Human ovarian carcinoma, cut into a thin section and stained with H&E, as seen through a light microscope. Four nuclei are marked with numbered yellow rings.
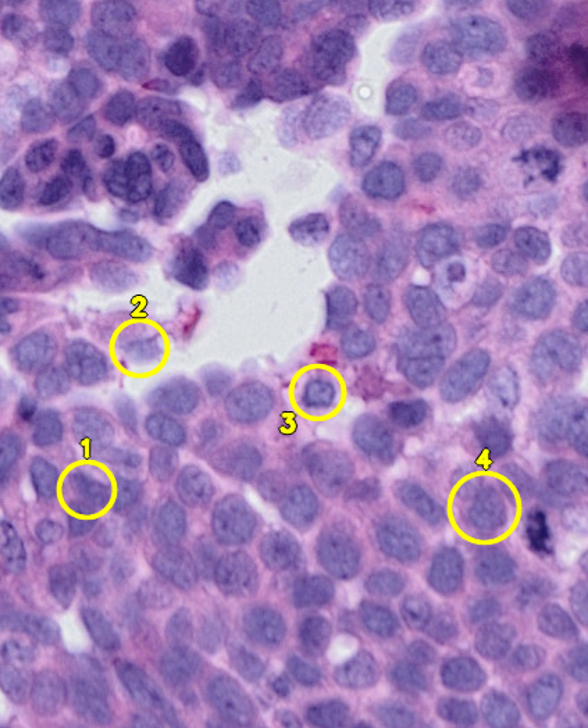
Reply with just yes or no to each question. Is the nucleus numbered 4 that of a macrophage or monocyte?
no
